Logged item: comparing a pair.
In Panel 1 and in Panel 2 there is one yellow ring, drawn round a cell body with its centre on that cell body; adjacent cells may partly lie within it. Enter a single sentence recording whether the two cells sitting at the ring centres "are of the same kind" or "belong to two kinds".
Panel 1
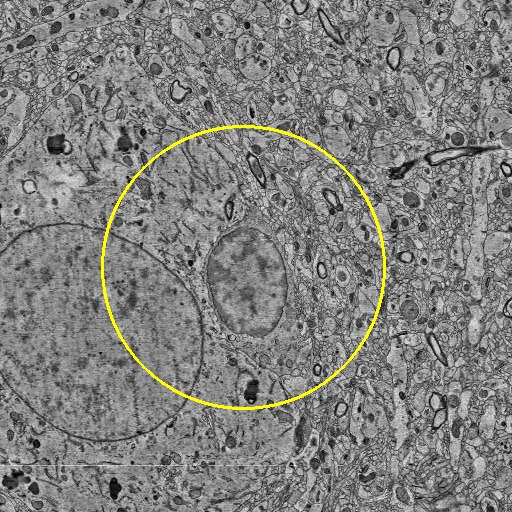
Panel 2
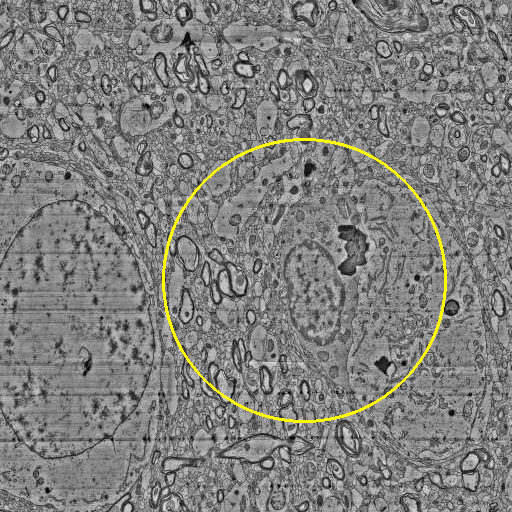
Logged: the cells centred in the rings of Panel 1 and Panel 2 are of the same kind.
